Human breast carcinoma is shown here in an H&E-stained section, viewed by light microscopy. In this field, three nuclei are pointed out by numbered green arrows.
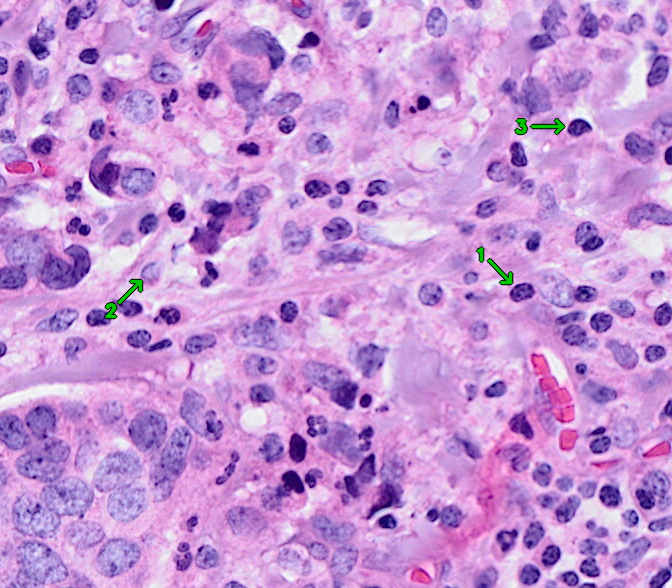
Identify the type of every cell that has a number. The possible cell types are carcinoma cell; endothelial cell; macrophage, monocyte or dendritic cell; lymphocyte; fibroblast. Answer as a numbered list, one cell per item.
1. lymphocyte
2. macrophage, monocyte or dendritic cell
3. lymphocyte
